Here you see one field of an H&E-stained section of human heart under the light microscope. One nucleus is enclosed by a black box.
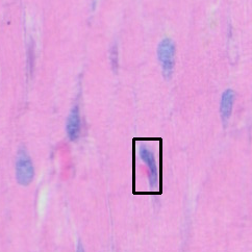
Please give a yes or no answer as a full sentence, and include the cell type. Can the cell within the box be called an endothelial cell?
Yes, that is right: the cell within the box is an endothelial cell.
